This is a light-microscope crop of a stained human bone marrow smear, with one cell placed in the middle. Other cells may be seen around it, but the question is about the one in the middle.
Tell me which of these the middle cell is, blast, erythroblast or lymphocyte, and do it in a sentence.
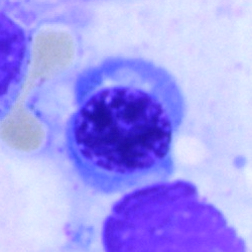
The cell centred in this crop is categorized as an erythroblast.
